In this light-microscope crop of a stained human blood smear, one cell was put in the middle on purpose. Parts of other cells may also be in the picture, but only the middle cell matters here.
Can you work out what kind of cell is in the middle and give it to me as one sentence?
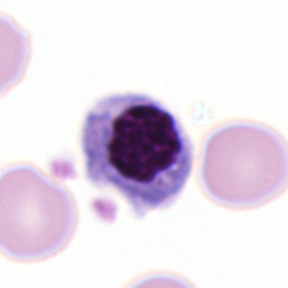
This crop has a normoblast at its centre.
